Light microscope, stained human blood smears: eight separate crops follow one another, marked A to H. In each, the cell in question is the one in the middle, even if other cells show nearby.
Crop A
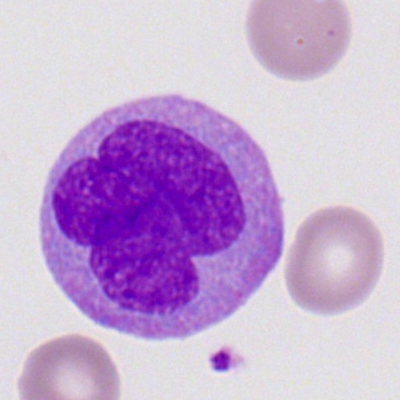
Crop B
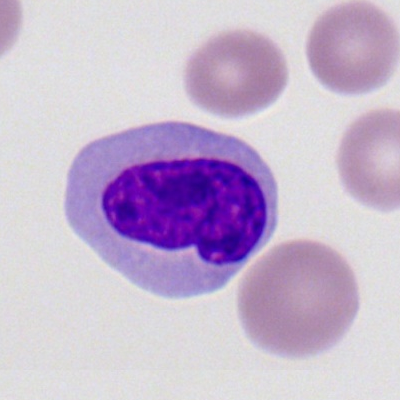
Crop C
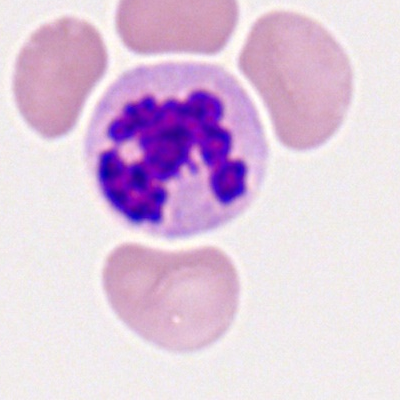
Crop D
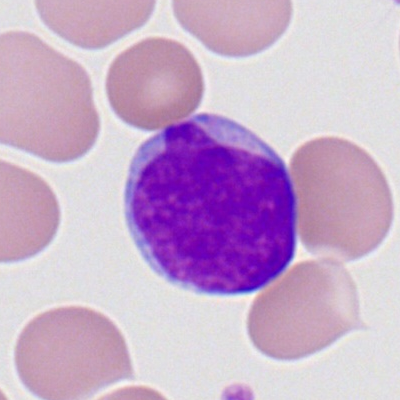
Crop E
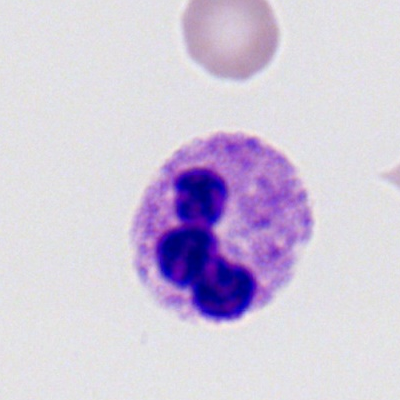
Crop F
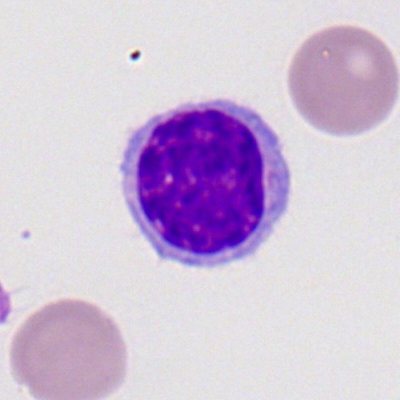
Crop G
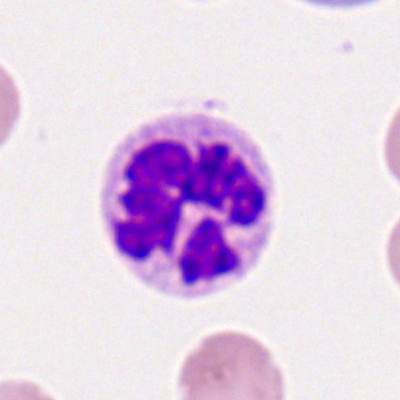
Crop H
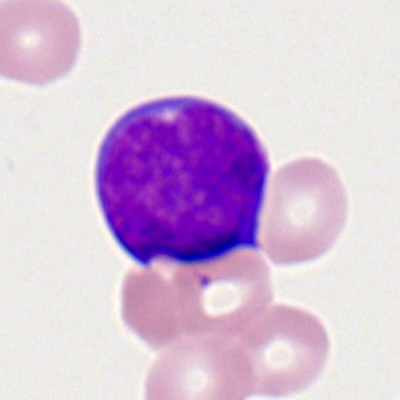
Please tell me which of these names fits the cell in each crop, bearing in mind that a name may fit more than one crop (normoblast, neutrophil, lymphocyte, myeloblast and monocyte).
A: myeloblast
B: normoblast
C: neutrophil
D: myeloblast
E: neutrophil
F: lymphocyte
G: neutrophil
H: myeloblast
